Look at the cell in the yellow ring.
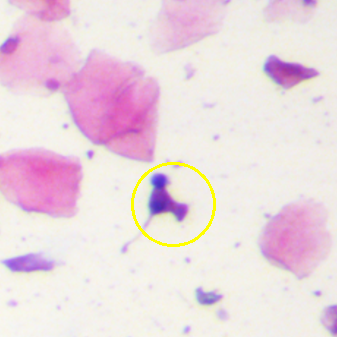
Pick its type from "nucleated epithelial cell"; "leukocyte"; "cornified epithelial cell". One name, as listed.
nucleated epithelial cell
